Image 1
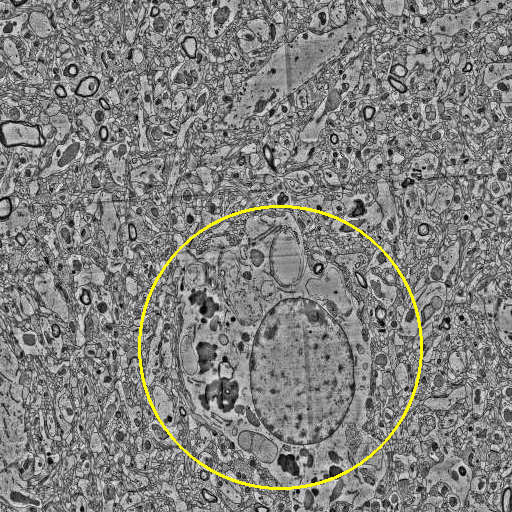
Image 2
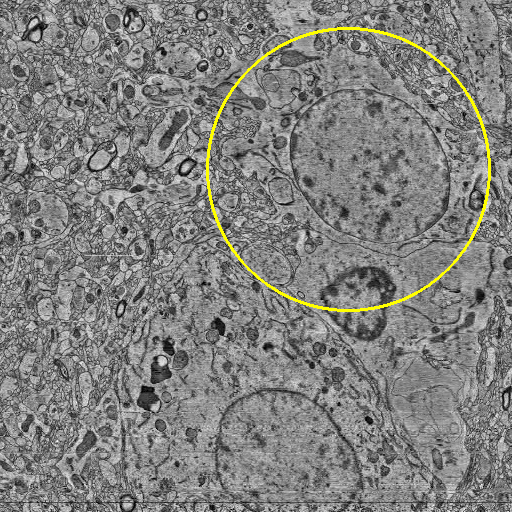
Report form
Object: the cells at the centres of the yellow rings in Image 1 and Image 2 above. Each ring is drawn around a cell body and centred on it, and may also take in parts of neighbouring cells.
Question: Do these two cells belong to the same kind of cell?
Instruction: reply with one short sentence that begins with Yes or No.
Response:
Yes, both belong to the same kind of cell.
